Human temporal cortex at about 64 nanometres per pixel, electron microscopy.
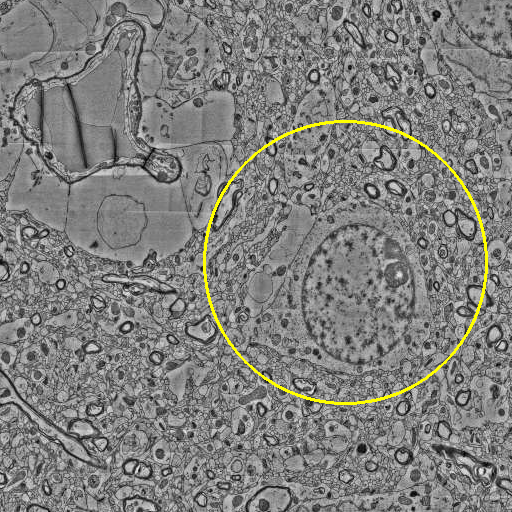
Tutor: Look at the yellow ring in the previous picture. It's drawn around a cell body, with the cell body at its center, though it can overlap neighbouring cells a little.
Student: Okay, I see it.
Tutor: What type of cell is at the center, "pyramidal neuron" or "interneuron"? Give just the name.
interneuron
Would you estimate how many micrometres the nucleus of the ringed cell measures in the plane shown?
In this plane, roughly 9 by 7 micrometres.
